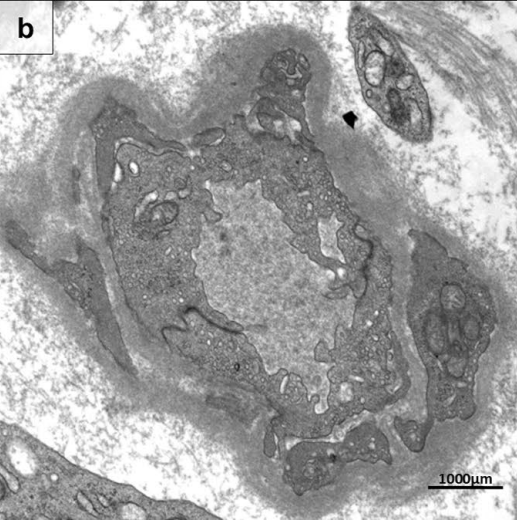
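A capillary with an irregular lumen lined by endothelial cells with vesicle-rich cytoplasm and irregular luminal projections. The vessel is encased in a thick, grey, layered basement membrane containing several pericyte profiles around its circumference.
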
